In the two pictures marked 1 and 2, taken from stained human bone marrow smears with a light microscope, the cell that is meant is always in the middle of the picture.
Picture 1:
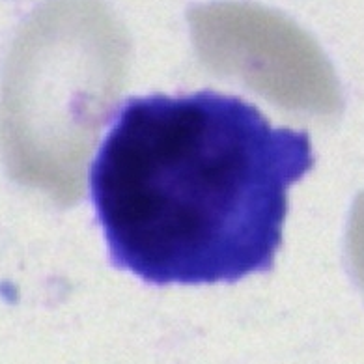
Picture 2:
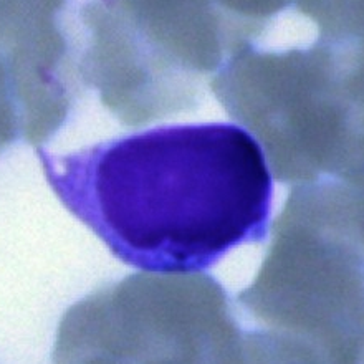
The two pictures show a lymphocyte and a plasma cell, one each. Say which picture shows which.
1: plasma cell
2: lymphocyte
